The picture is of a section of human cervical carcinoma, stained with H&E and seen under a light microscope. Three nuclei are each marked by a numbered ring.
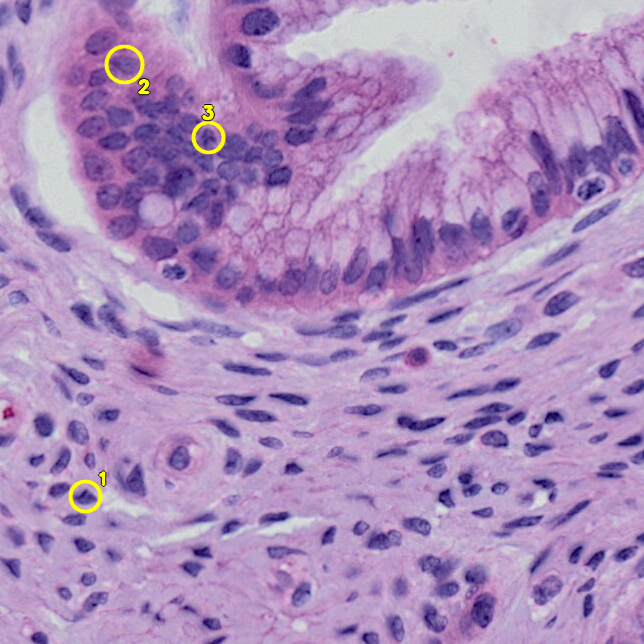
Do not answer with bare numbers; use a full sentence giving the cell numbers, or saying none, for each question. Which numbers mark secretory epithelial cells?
The cells shown with numbers 2 and 3 are secretory epithelial cells.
